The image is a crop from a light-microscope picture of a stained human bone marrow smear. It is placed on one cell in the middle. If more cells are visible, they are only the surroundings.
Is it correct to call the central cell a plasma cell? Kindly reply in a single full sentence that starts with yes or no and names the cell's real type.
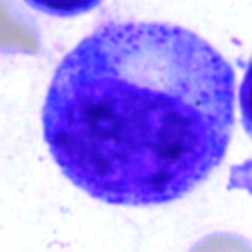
No, the cell found centrally in the crop is a promyelocyte, not a plasma cell.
